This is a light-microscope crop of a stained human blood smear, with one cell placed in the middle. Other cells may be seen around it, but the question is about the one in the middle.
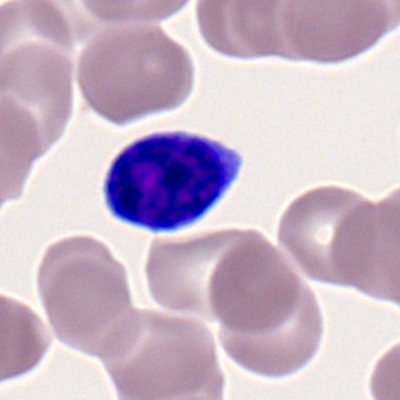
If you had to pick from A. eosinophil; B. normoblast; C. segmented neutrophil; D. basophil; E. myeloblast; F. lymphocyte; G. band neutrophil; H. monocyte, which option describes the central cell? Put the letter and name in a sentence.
The cell at the centre is a lymphocyte, and option F accordingly is correct.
